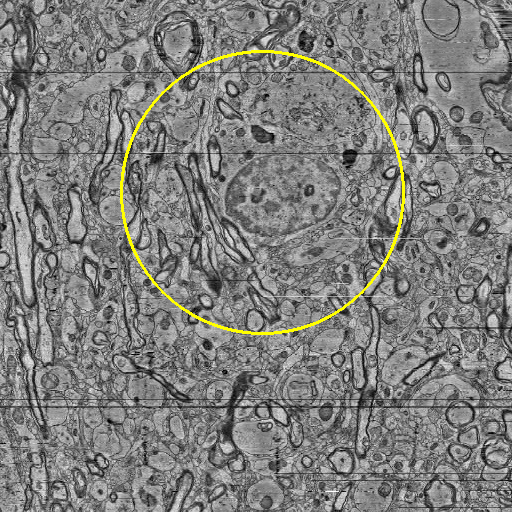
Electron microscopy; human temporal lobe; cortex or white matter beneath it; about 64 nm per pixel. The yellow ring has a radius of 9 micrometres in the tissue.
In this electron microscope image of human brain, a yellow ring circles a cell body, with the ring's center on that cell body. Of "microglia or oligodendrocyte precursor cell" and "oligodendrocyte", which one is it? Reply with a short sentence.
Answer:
It is an oligodendrocyte at the center of the ring.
